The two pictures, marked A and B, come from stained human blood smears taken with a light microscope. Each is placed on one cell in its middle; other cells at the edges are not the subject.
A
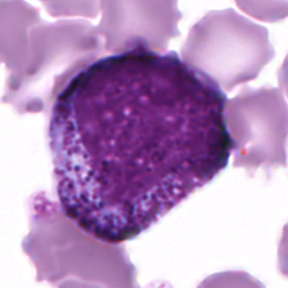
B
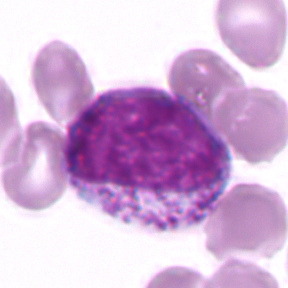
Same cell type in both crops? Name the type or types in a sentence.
No, crop A is where a myelocyte is, and crop B is where a metamyelocyte is.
